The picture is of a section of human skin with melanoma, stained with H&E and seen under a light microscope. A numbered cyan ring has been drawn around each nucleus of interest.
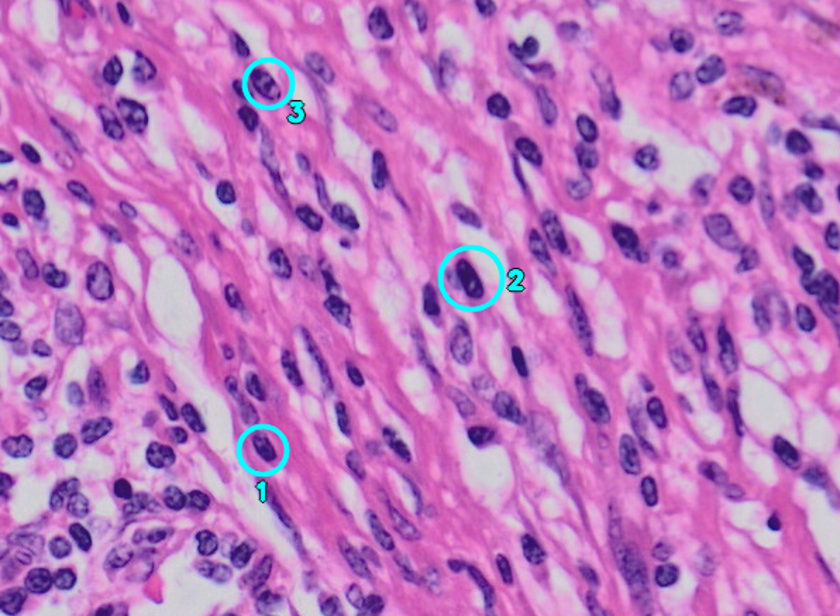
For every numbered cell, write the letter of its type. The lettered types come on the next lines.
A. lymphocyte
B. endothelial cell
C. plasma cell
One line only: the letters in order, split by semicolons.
A; C; C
